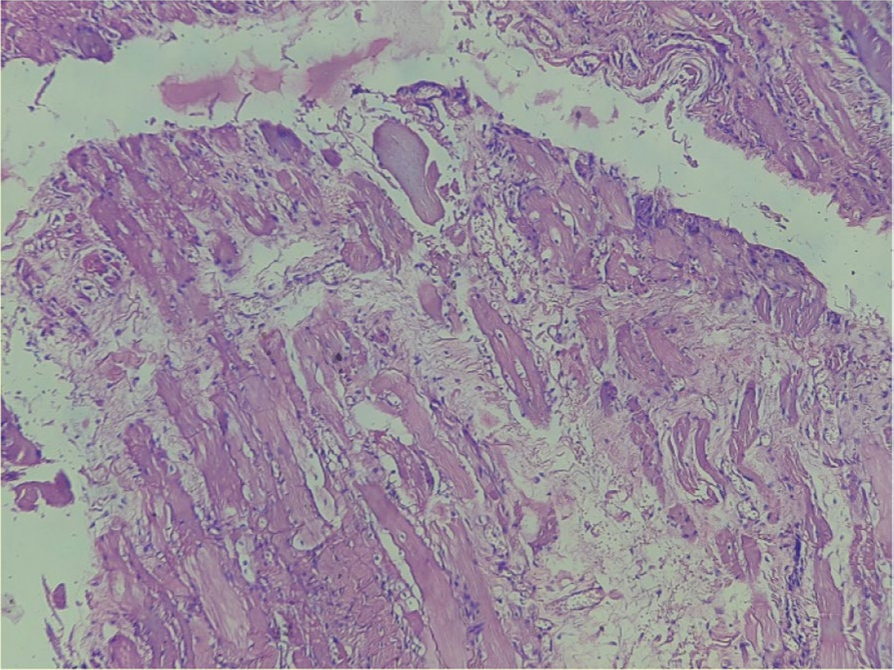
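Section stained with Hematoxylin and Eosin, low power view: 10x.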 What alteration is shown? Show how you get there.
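The pink fibres are broken into short, irregular segments with ragged ends. Many fibre segments appear pale and homogeneous, with few nuclei. Gaps and loose, frayed stroma lie between the fibre fragments.
Conclusion: necrosed and fragmented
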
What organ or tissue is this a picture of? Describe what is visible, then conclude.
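Long, parallel, eosinophilic band-like fibres run diagonally across the section. The fibres are separated by loose, pale fibrous stroma. On this evidence: Muscle fibres.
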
